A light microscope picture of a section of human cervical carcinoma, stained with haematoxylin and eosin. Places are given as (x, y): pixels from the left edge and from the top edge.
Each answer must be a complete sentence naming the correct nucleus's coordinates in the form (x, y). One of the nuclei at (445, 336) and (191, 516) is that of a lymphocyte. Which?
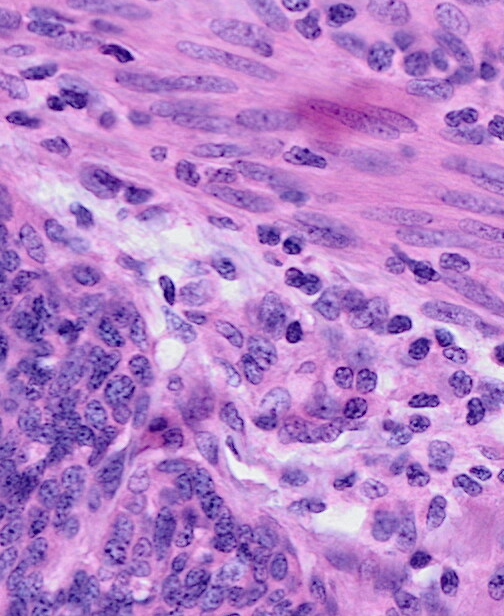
Among the two nuclei, the one lying at (445, 336) is part of a lymphocyte.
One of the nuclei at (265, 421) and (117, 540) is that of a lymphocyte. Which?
So, of the two, the nucleus at (265, 421) is the one belonging to a lymphocyte.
